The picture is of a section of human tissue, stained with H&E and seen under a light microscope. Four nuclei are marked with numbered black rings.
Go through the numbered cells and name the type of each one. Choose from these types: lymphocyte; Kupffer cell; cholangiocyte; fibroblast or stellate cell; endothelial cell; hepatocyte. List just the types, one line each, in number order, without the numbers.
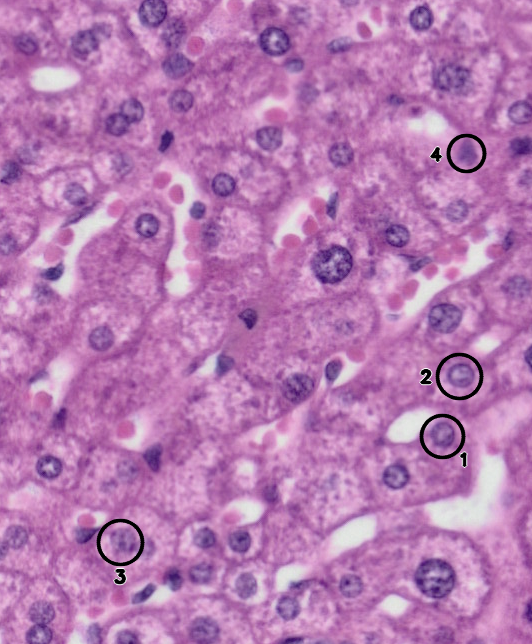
hepatocyte
hepatocyte
hepatocyte
endothelial cell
